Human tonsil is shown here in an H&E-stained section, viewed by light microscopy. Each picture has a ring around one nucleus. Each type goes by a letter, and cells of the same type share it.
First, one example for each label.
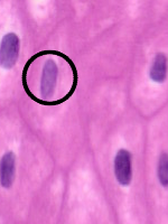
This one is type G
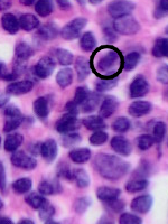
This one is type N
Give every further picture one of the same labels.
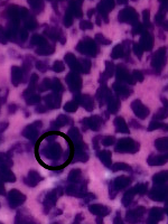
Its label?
type N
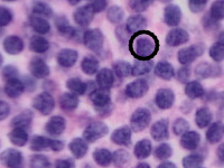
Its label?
type N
